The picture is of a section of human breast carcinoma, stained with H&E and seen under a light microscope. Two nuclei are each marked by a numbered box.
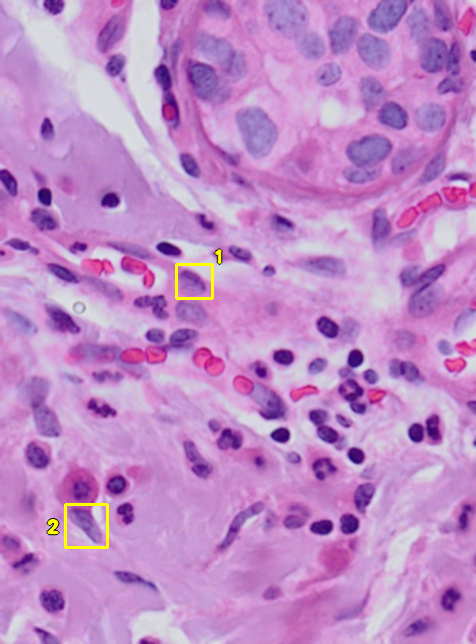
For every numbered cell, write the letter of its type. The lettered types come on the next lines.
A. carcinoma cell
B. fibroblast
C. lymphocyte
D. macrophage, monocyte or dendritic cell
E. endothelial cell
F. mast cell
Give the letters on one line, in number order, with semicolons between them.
E; B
